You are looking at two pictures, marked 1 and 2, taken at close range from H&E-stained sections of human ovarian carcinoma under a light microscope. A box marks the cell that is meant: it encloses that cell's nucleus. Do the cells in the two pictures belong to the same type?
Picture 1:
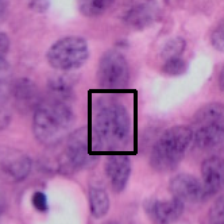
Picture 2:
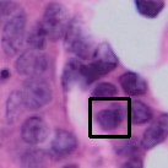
yes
